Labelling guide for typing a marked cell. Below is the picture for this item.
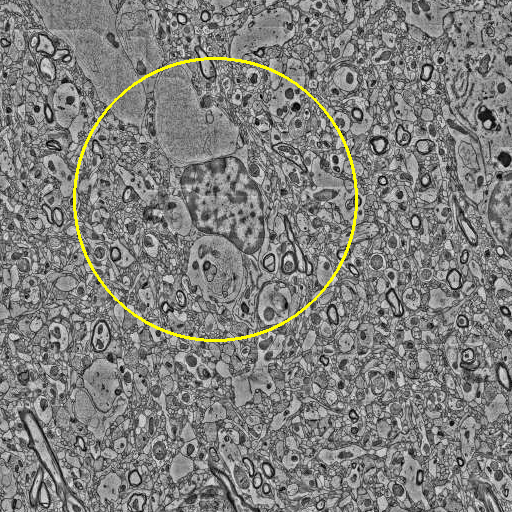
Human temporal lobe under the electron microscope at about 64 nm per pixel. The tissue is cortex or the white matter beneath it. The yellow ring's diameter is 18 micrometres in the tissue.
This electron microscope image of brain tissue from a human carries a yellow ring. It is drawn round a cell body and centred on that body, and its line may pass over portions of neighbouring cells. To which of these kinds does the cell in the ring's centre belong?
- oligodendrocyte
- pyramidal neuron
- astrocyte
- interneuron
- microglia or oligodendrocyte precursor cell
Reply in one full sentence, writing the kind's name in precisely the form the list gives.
Here we have a microglial cell or oligodendrocyte precursor cell at the centre of the yellow ring in the picture.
